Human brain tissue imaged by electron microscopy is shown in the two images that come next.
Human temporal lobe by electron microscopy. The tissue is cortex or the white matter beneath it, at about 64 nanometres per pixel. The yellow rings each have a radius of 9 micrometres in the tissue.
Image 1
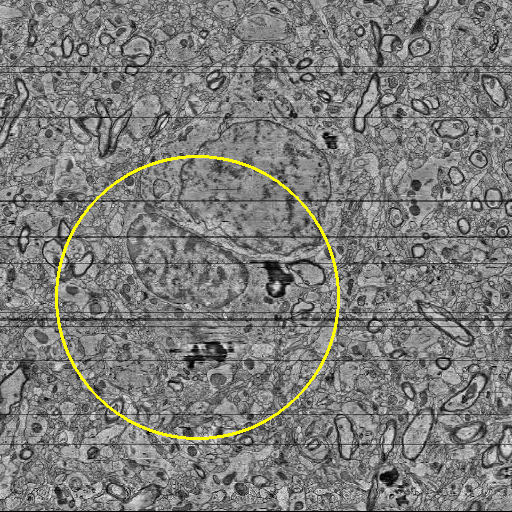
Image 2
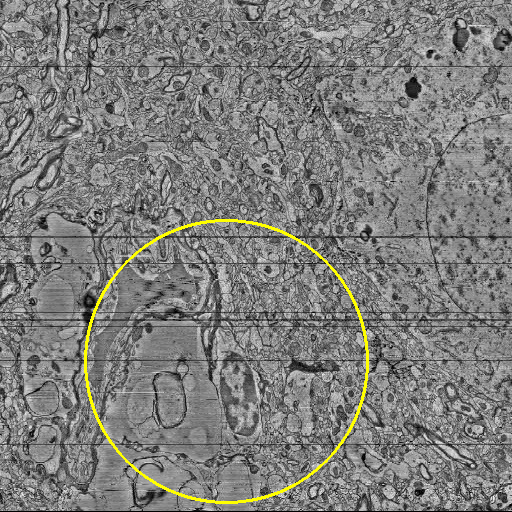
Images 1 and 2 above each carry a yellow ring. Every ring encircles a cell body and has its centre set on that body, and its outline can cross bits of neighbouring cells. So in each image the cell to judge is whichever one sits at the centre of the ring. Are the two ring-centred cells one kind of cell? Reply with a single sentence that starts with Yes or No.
No, in Image 1 and Image 2 the cells at the centres of their rings fall into two types.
